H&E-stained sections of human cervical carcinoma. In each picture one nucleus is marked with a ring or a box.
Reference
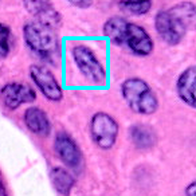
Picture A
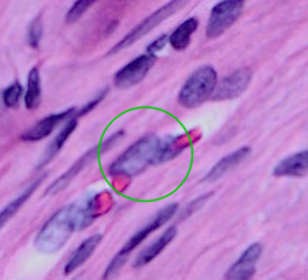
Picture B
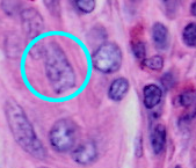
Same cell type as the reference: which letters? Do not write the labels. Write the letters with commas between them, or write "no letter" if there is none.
no letter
